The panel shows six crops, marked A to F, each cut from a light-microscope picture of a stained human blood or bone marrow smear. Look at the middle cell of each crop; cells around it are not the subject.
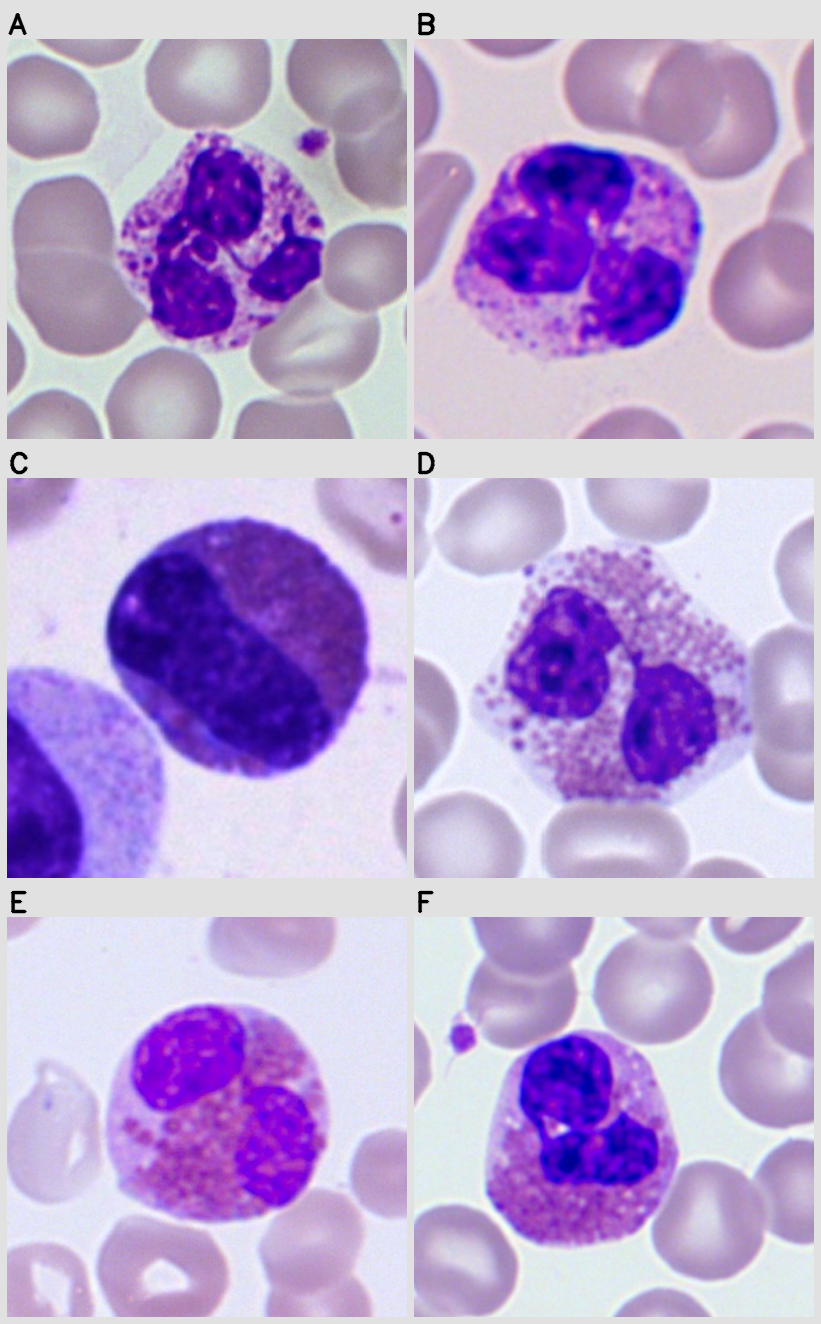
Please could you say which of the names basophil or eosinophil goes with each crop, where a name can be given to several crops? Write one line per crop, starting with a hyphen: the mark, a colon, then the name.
- A: basophil
- B: basophil
- C: eosinophil
- D: eosinophil
- E: eosinophil
- F: eosinophil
